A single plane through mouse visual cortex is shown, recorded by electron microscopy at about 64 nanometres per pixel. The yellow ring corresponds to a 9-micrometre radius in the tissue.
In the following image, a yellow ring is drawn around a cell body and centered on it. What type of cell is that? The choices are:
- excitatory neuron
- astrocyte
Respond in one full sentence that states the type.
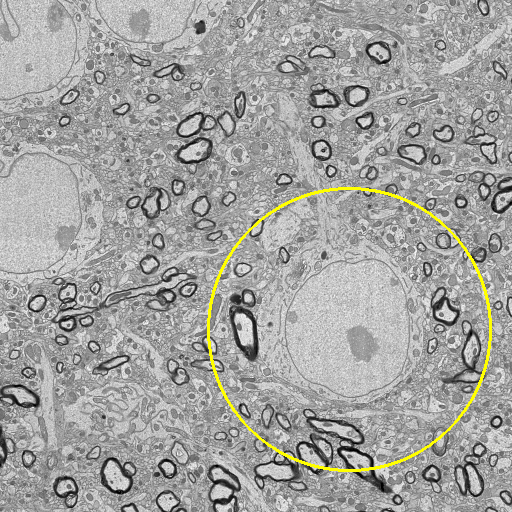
The cell at the center of the yellow ring in the image is an excitatory neuron.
